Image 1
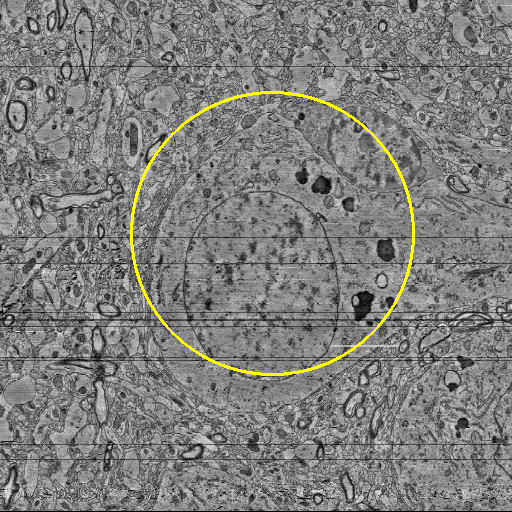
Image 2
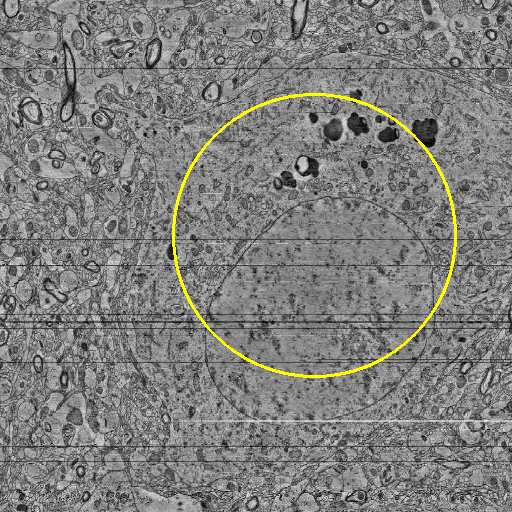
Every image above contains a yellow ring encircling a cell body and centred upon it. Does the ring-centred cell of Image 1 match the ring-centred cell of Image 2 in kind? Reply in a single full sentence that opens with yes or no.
Yes, the cell at the ring's centre in Image 1 is the same kind as that in Image 2.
